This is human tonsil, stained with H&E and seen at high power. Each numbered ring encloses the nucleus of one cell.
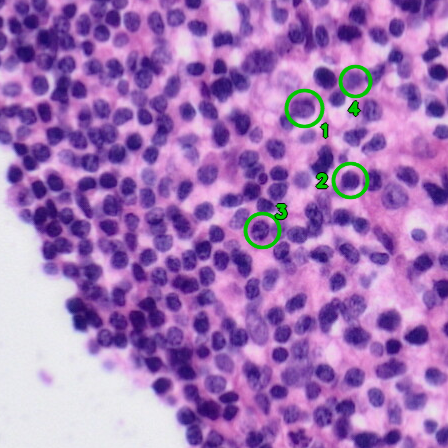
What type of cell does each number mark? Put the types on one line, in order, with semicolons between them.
proliferating B cell; proliferating B cell; plasma cell; proliferating B cell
